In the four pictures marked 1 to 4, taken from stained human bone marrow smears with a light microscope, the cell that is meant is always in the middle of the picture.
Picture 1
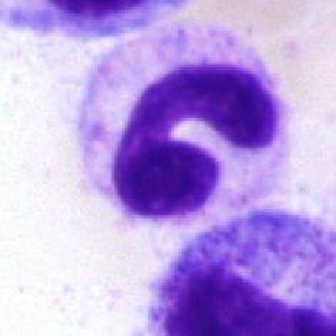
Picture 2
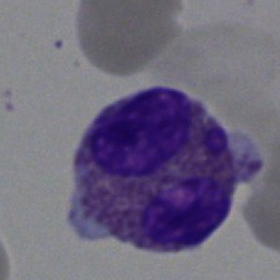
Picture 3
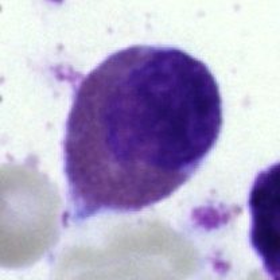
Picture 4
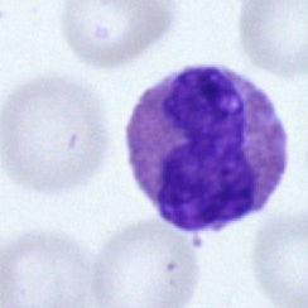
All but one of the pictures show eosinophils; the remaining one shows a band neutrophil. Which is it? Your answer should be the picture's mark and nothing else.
1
